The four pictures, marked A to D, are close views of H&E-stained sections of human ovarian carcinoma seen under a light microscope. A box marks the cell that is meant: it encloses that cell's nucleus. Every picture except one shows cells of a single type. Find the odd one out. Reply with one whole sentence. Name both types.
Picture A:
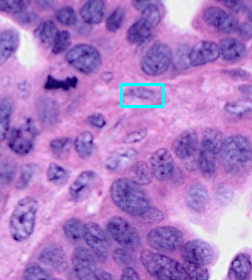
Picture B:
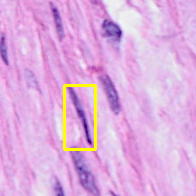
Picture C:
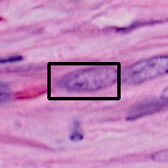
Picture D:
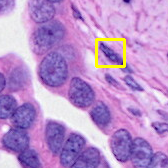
Picture C is the odd one out: it shows an endothelial cell, while the others show fibroblasts.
